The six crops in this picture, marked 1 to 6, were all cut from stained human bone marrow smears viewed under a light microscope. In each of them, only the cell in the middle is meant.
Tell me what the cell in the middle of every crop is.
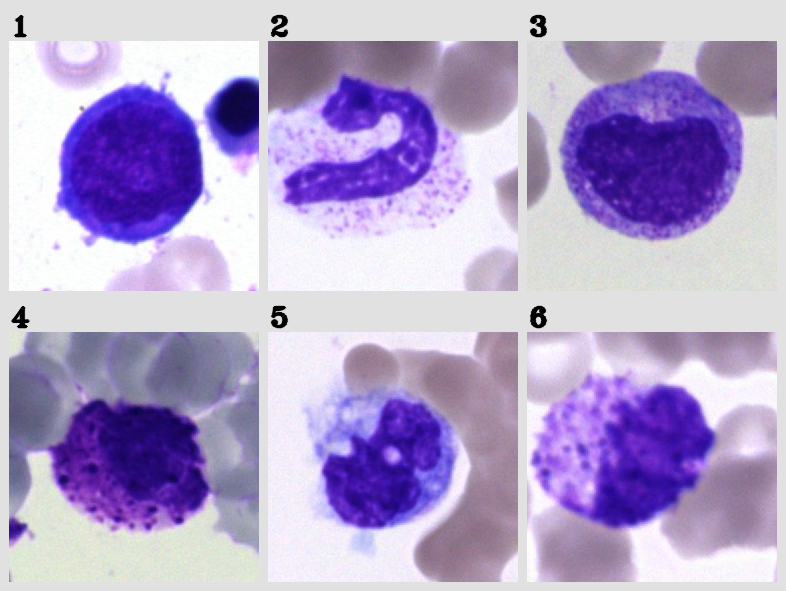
1: blast
2: band neutrophil
3: metamyelocyte
4: basophil
5: monocyte
6: basophil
